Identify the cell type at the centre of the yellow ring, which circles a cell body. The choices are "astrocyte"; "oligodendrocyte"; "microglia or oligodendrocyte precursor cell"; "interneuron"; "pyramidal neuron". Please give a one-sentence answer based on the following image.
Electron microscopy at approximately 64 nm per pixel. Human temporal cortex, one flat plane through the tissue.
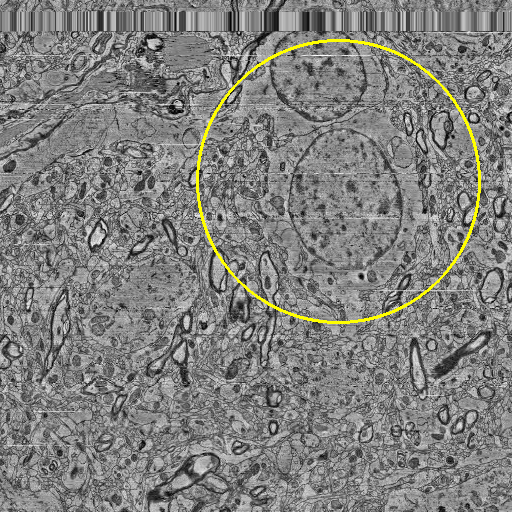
The cell marked by the ring is an astrocyte.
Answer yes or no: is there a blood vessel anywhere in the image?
Yes, one appears.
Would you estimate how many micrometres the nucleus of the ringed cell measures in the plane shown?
Roughly 9 by 7 micrometres in this plane, for the nucleus of the ringed cell.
